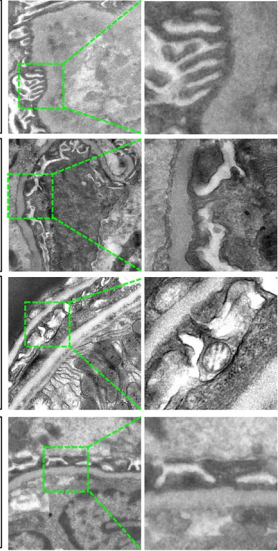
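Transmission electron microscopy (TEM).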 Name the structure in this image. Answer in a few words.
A: Foot processes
